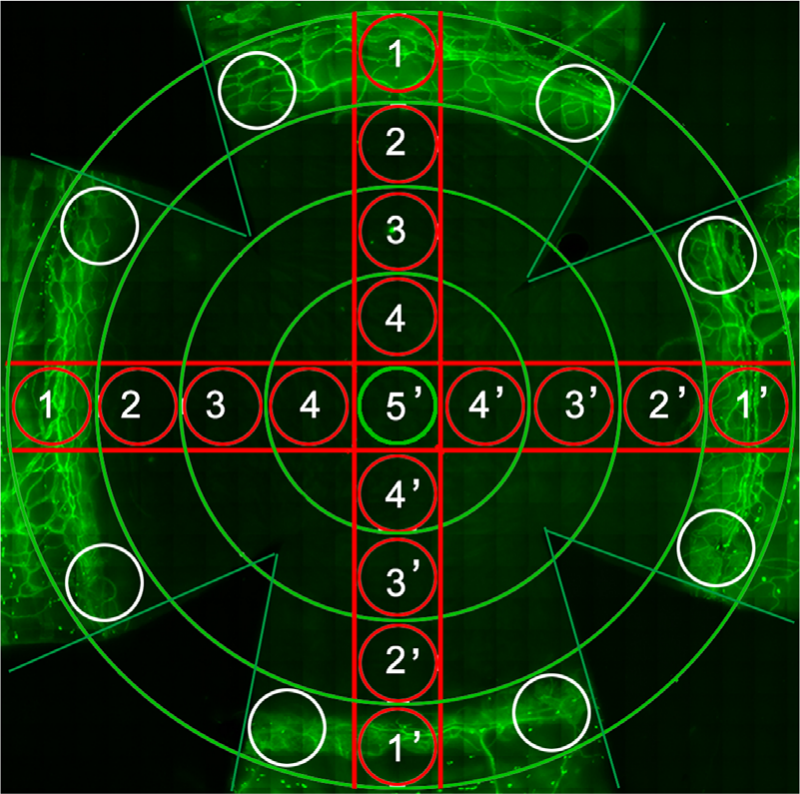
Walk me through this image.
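This is a round, flat-mounted piece of tissue seen from the front, with a dark center and a brighter green band around its edge. In the peripheral band, fine green tubes branch and join into a meshwork of loops, typical of a ring of small blood vessels. The central area is almost black and shows no vessels, as expected for the clear, vessel-free center of the cornea. The vascular ring at the border marks the limbus, the junction between the clear cornea and the surrounding tissue.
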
